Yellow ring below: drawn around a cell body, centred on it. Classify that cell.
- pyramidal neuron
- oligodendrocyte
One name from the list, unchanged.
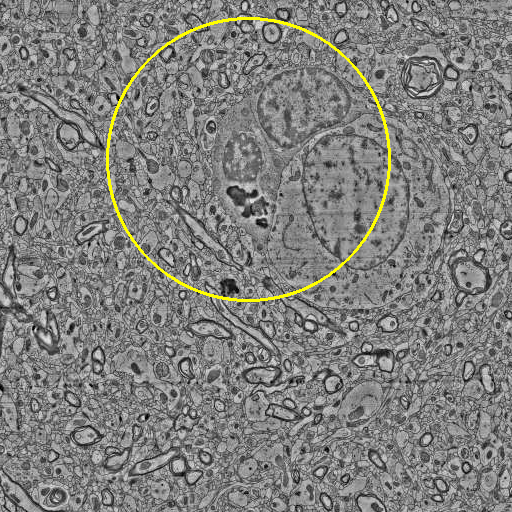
oligodendrocyte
